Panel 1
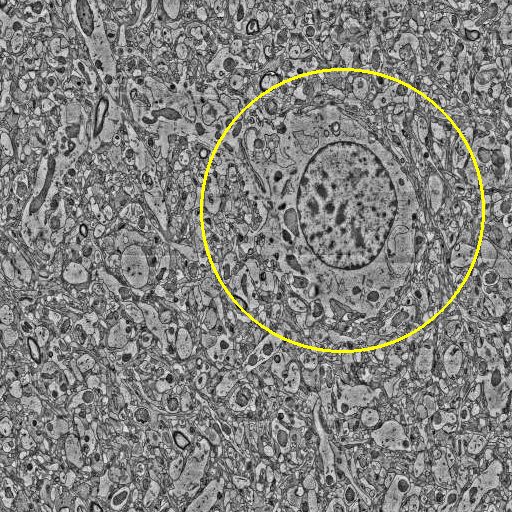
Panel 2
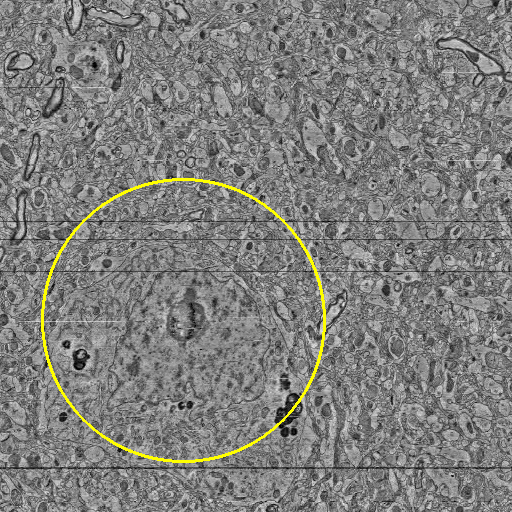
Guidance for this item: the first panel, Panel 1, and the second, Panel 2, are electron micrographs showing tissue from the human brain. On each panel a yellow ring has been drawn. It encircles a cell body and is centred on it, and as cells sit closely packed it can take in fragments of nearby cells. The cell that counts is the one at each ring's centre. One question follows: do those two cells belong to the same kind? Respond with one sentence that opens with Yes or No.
No, the cells at the ring centres in Panel 1 and Panel 2 are of two kinds.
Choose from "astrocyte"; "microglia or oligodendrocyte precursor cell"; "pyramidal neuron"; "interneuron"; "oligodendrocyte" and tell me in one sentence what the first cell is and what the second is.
What the first ring is centred on is an astrocyte; what the second ring is centred on is an interneuron.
